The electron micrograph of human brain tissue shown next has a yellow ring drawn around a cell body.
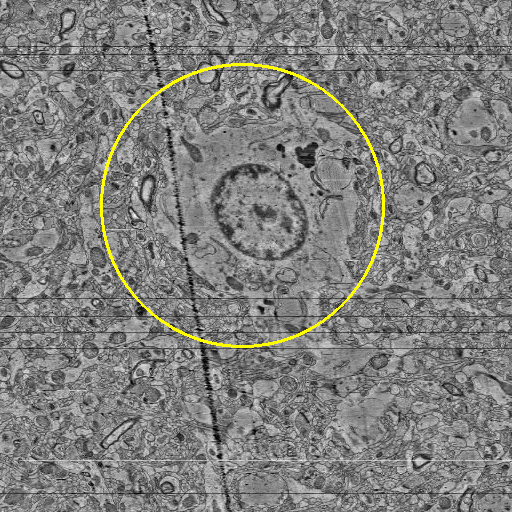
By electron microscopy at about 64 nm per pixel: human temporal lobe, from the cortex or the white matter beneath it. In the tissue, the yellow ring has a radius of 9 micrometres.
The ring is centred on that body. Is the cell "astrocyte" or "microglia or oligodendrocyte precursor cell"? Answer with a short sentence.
The cell in question is an astrocyte.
